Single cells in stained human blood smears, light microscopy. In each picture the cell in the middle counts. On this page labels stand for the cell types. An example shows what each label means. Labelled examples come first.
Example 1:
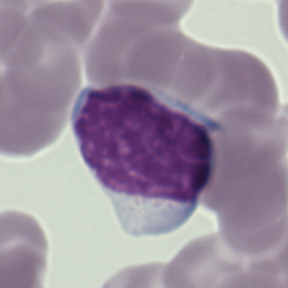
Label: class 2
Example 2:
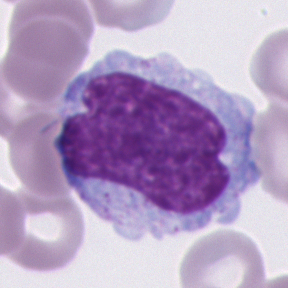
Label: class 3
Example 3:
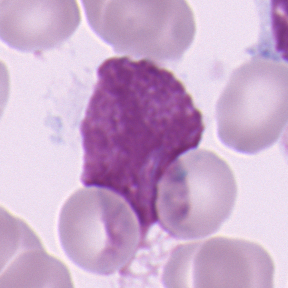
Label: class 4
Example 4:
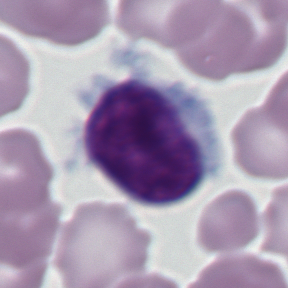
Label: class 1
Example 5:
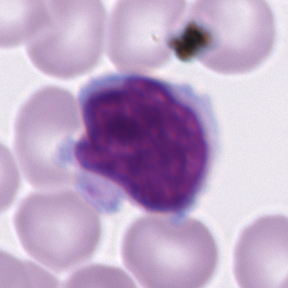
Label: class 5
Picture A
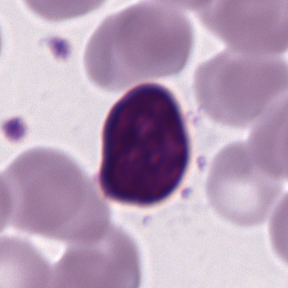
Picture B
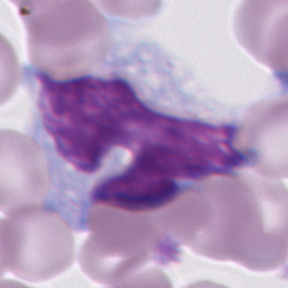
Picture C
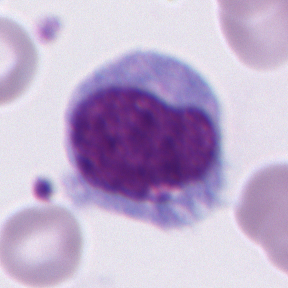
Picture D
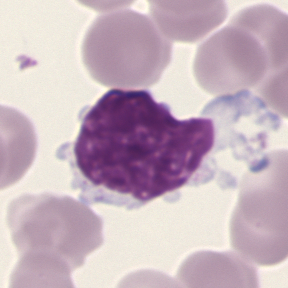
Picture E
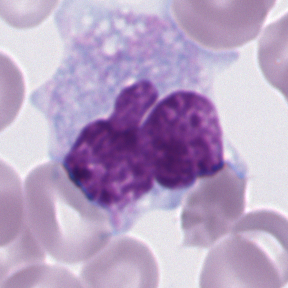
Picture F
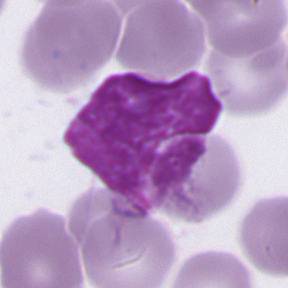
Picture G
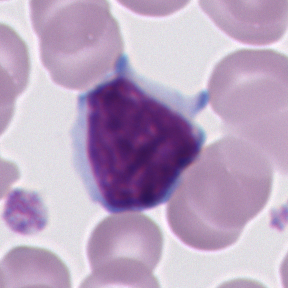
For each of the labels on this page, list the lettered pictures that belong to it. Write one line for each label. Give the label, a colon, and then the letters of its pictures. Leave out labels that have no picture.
class 2: D
class 3: B, C, E
class 4: A, F
class 5: G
